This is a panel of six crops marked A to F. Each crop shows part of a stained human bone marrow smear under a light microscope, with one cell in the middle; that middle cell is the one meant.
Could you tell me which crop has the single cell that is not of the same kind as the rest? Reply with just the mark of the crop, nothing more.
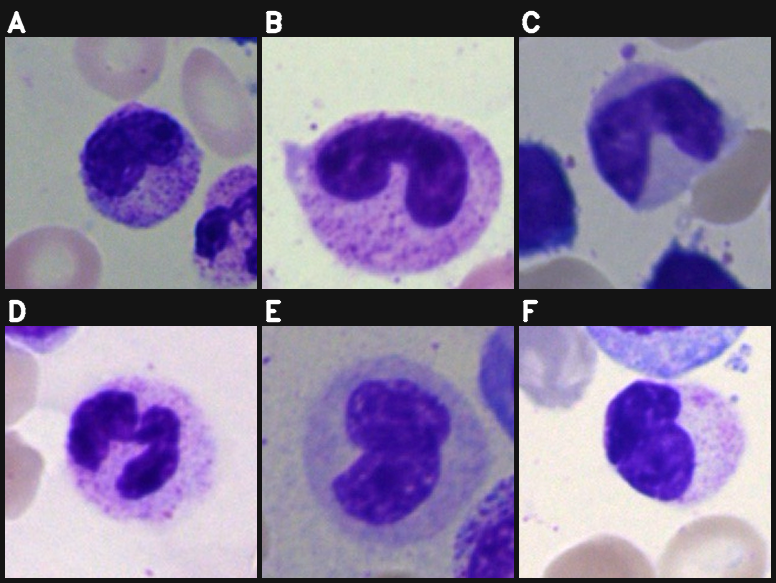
D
